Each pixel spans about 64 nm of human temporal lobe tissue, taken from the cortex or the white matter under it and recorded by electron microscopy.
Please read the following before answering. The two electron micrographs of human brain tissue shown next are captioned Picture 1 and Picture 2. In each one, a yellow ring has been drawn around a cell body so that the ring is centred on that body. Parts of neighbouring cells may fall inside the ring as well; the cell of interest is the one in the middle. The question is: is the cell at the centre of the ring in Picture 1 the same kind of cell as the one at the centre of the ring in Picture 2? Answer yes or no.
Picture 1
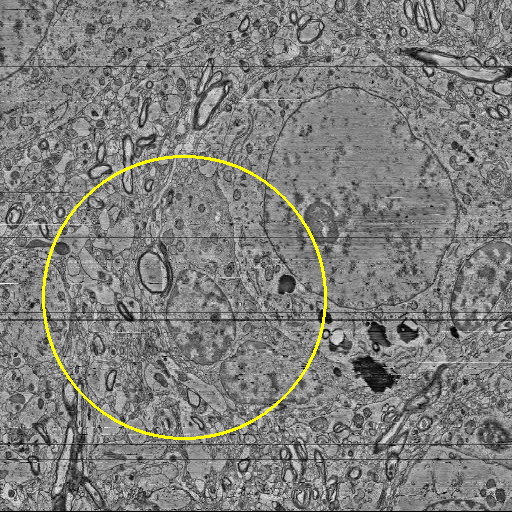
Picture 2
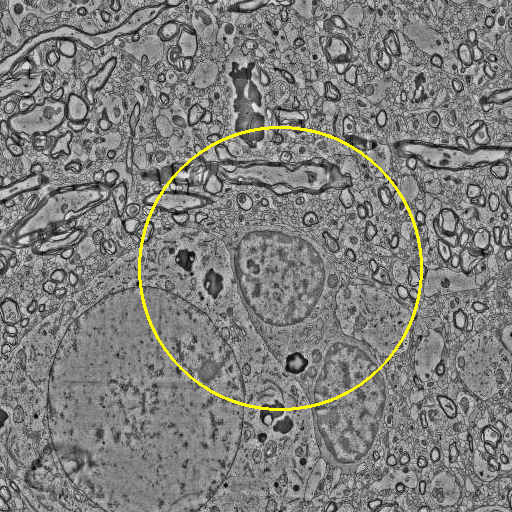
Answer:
yes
